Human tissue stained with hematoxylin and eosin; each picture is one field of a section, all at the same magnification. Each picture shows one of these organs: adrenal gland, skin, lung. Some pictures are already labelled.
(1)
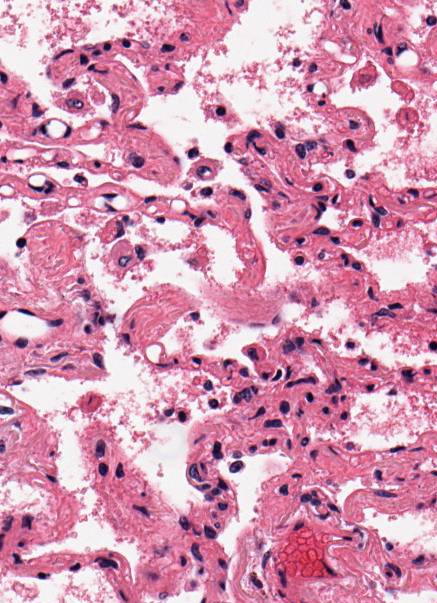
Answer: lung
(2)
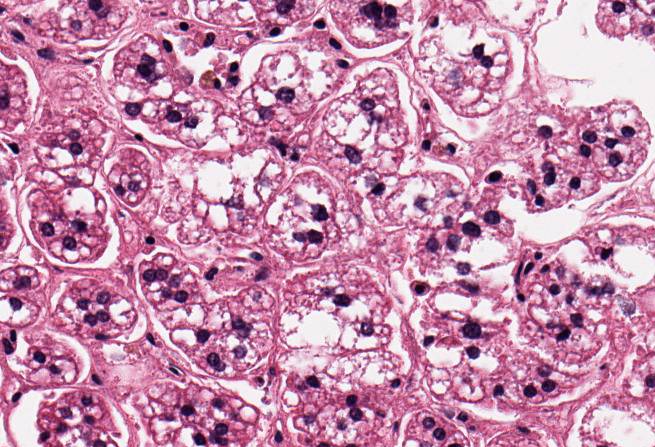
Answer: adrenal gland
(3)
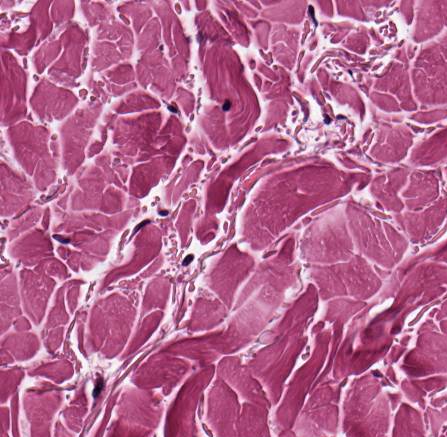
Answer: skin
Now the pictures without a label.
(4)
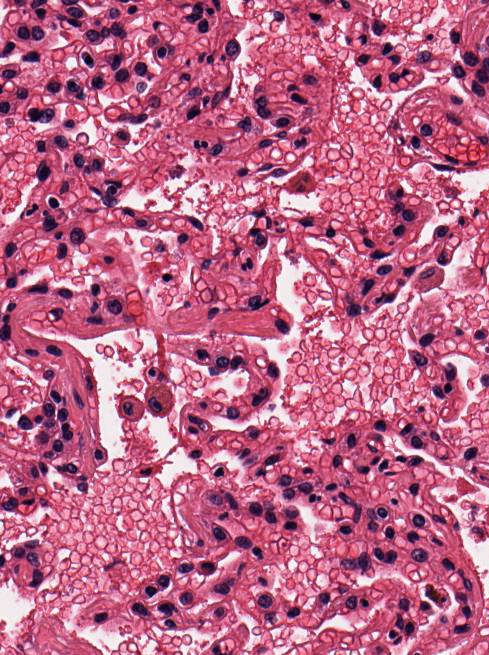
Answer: lung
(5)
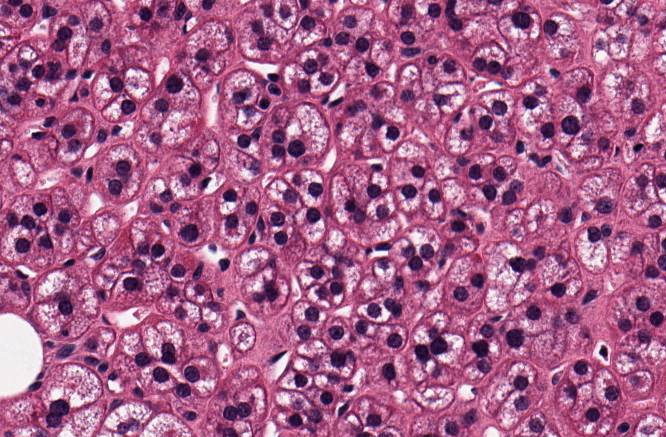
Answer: adrenal gland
